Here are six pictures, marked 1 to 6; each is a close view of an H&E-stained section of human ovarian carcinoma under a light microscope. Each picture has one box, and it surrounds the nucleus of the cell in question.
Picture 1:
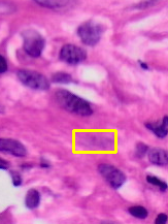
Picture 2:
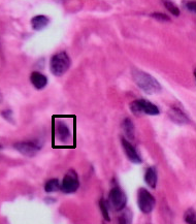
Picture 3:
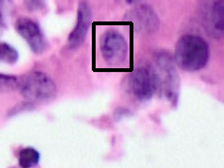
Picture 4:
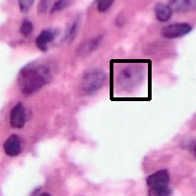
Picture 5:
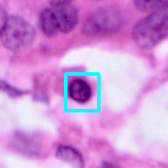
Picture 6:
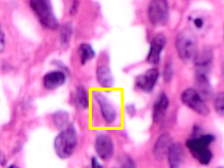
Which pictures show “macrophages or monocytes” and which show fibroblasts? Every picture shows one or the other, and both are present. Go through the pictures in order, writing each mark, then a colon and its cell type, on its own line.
1: fibroblast
2: fibroblast
3: macrophage or monocyte
4: macrophage or monocyte
5: macrophage or monocyte
6: macrophage or monocyte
